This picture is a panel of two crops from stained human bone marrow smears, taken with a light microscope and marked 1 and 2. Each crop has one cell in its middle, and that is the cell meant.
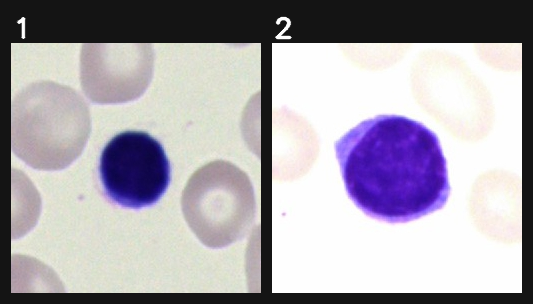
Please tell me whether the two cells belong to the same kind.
yes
